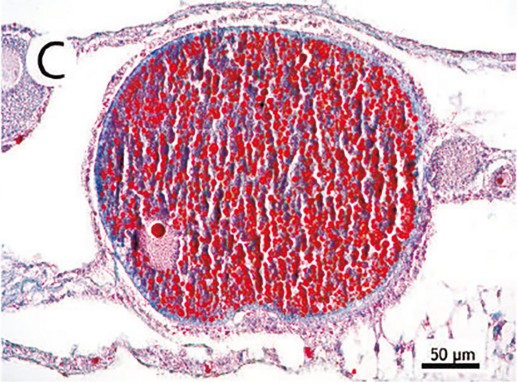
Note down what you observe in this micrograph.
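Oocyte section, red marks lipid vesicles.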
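A single large oval cell fills most of the field, wrapped in a thin blue-staining layer and surrounded by loose pale tissue. Its cytoplasm is crowded with many red granules arranged in rough streaks, with blue material between them. A pale round nucleus with a dark red nucleolus sits near the lower left edge of the cell rather than in its center.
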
